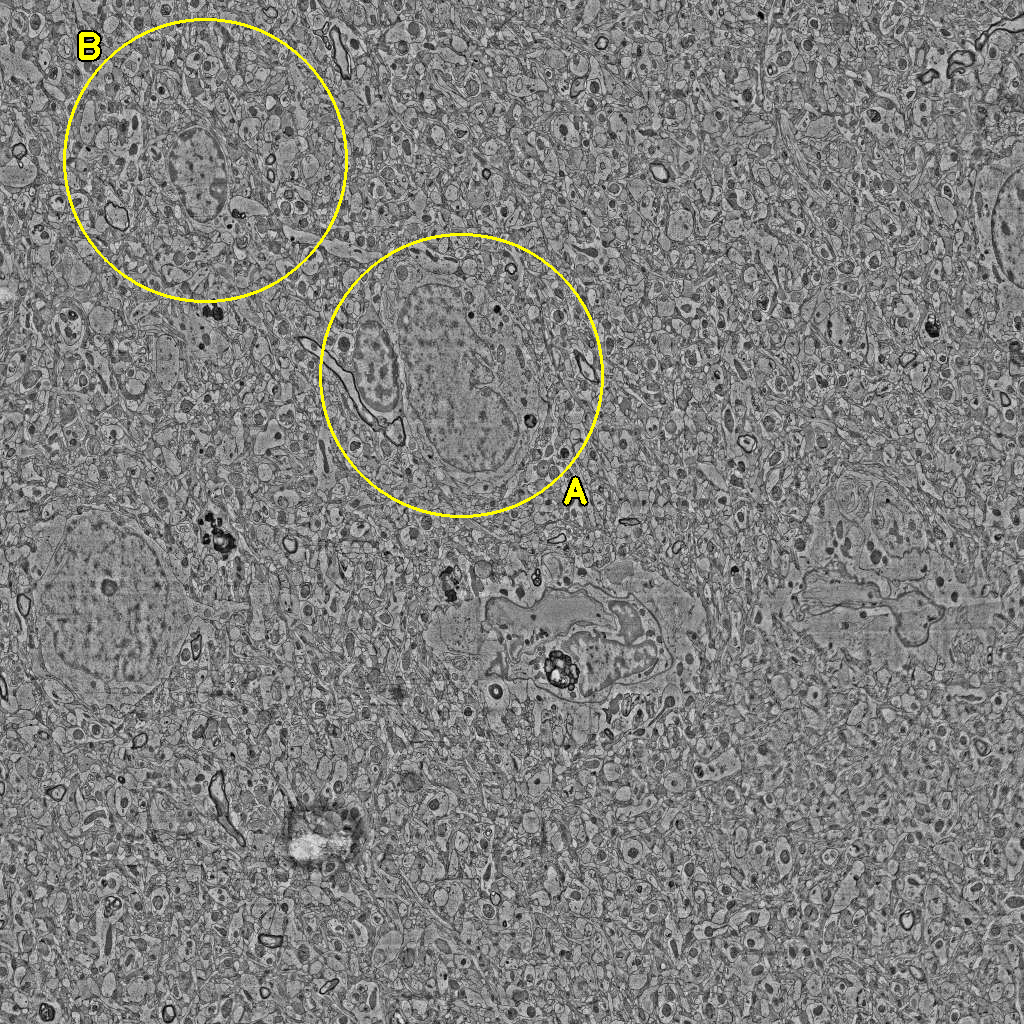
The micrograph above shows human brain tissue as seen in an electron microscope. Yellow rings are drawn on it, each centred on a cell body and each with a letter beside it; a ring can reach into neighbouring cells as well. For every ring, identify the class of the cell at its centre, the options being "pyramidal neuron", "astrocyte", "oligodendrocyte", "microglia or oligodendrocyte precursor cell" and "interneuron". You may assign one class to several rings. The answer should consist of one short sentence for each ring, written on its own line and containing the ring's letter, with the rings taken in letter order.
The ring lettered A is centred on an interneuron.
The ring lettered B is centred on a microglial cell or oligodendrocyte precursor cell.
